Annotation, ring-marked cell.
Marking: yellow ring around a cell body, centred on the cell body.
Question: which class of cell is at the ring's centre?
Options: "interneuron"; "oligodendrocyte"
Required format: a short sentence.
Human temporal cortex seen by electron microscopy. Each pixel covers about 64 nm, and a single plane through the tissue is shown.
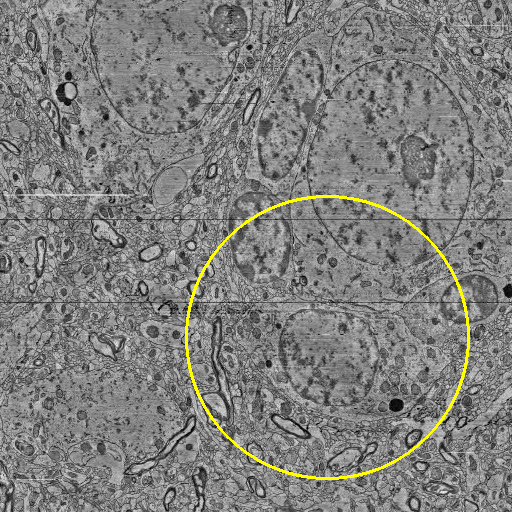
At the ring's centre is an interneuron.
